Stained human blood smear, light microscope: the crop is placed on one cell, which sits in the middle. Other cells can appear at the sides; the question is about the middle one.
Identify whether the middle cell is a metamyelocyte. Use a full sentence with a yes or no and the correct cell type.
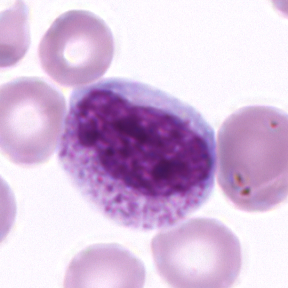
Yes, this is a metamyelocyte, the cell in the middle of the crop.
